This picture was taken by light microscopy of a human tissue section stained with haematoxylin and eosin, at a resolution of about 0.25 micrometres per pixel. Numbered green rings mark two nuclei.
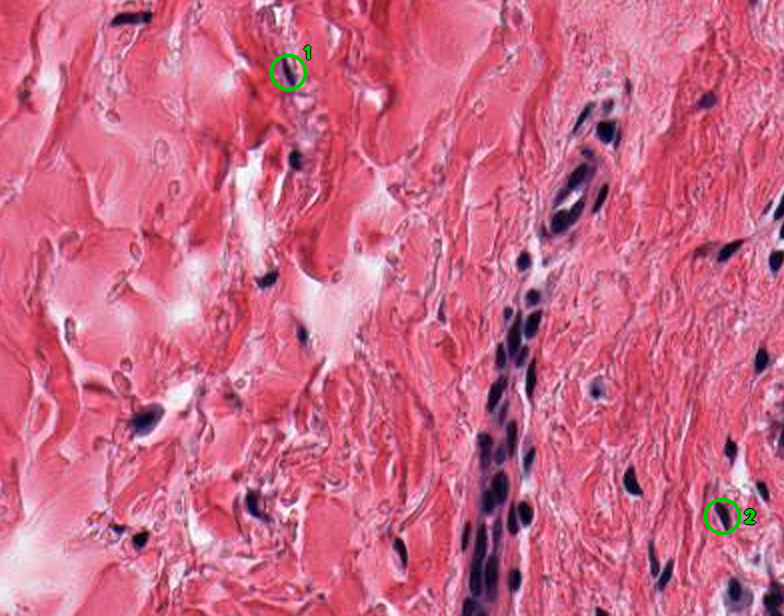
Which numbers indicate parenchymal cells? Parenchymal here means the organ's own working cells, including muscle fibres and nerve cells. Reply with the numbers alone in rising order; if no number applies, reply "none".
none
